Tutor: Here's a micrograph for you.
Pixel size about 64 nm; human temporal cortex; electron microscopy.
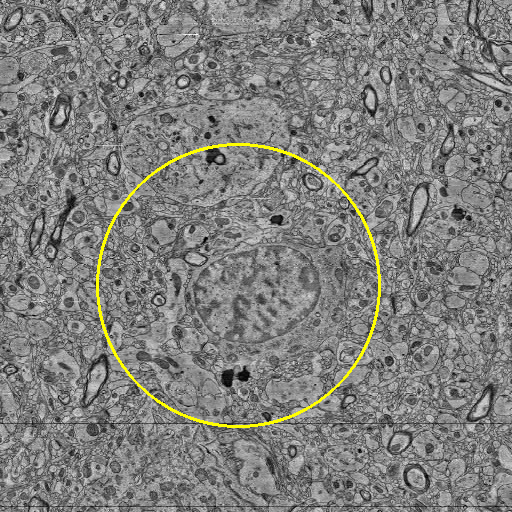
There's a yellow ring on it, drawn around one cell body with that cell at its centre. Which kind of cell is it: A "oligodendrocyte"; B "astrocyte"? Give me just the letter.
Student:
A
